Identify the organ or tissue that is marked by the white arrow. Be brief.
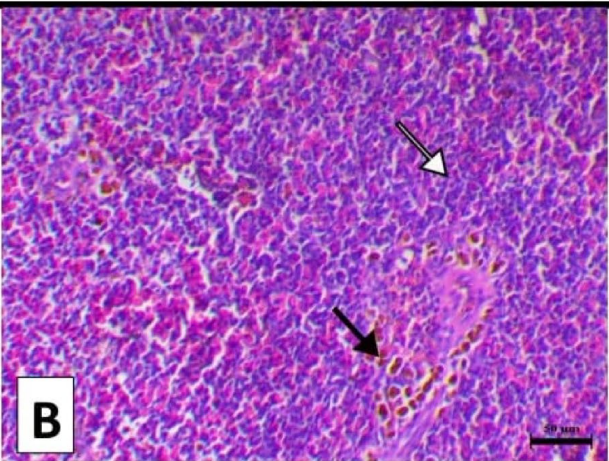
Lymphoid tissues.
